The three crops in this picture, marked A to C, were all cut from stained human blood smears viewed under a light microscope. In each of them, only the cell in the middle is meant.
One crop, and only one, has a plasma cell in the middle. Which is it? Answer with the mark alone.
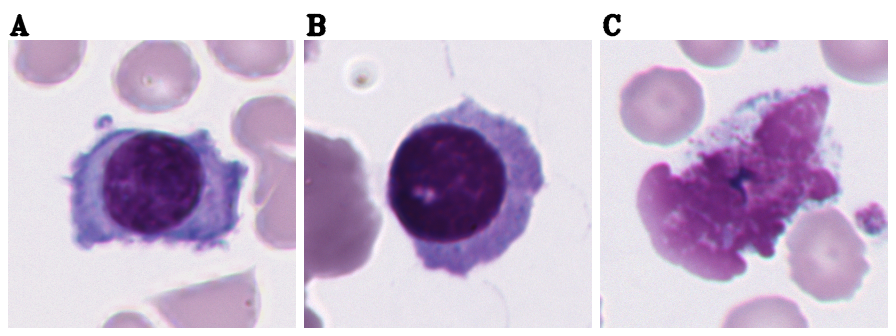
A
